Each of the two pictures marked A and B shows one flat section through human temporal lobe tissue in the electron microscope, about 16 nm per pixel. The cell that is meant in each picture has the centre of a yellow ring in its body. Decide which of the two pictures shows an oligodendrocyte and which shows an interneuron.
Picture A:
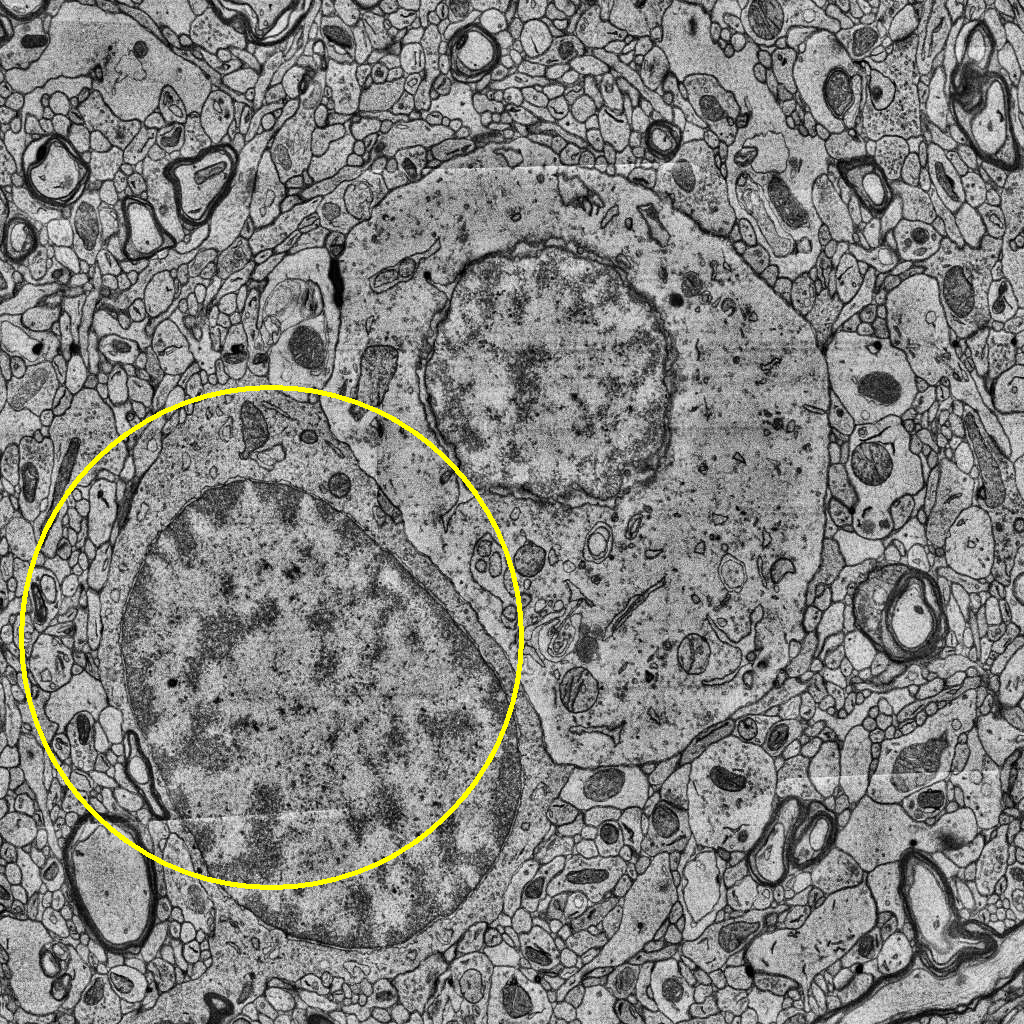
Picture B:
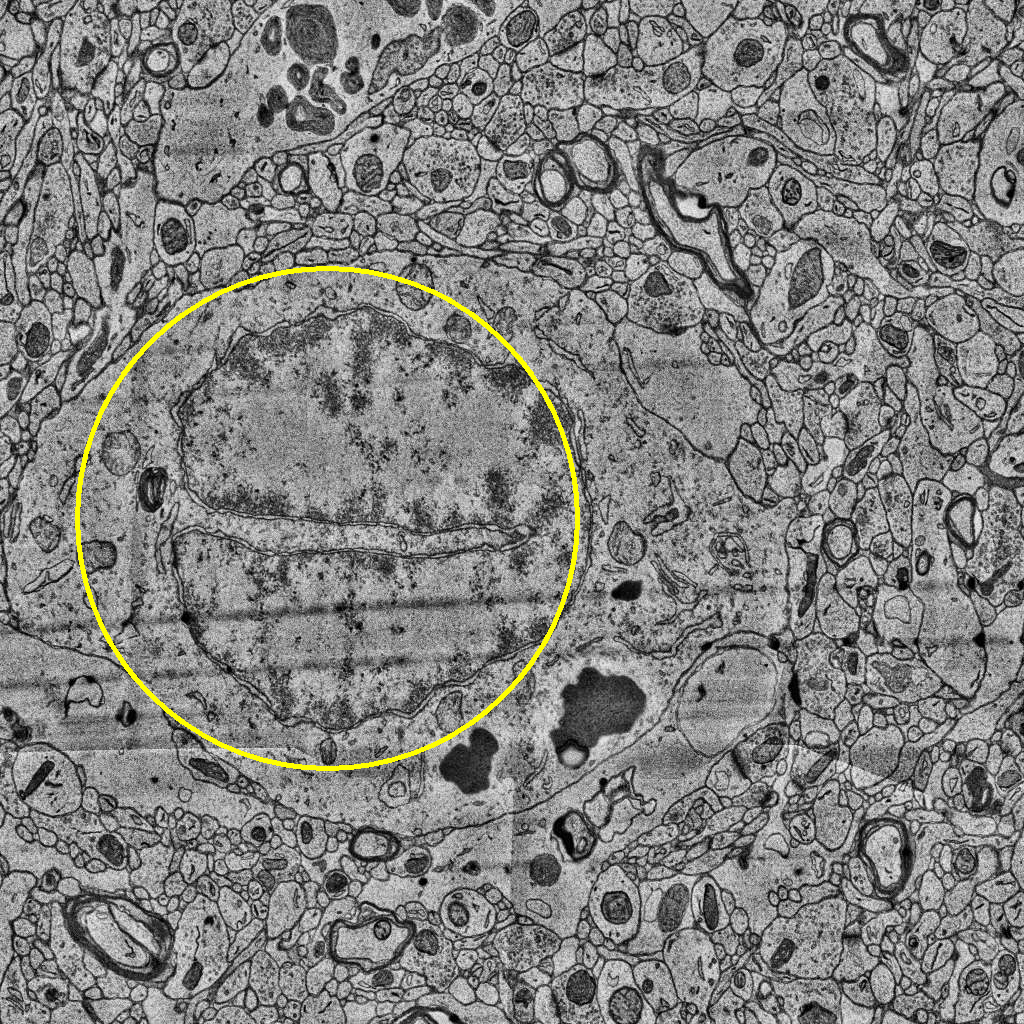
It is picture A that shows an oligodendrocyte, and picture B that shows an interneuron.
